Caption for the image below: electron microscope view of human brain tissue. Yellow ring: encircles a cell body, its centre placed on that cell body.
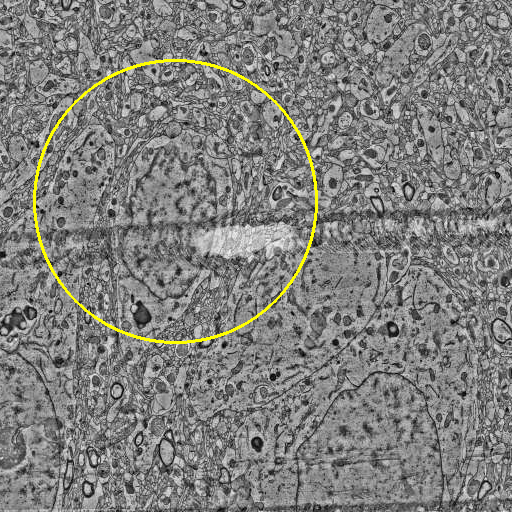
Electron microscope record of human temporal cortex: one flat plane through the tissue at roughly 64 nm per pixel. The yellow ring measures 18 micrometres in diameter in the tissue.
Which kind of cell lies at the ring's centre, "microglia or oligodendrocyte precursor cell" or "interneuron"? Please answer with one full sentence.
The picture shows an interneuron at the centre of the yellow ring.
